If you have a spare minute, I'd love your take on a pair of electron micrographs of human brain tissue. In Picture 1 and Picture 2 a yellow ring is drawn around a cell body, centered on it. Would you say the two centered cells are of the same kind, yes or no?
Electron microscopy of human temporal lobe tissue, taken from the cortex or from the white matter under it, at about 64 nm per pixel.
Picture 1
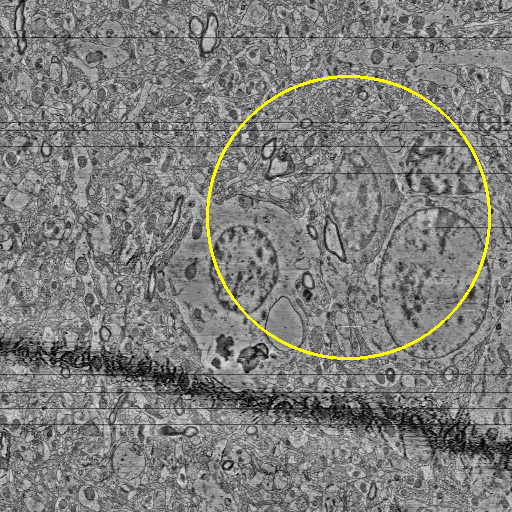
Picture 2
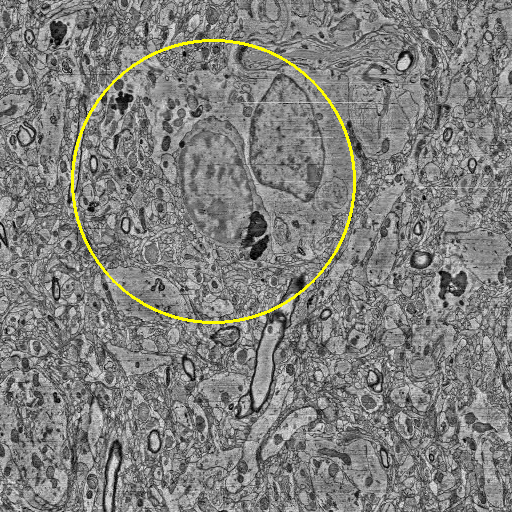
yes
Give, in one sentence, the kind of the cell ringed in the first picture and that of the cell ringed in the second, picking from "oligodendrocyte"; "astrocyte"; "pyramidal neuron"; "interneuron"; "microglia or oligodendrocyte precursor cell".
Both rings mark an oligodendrocyte, one in each picture.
